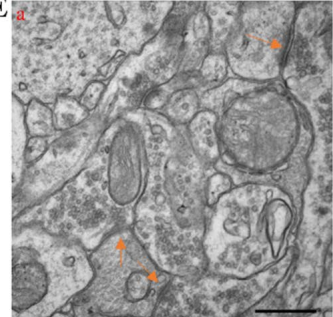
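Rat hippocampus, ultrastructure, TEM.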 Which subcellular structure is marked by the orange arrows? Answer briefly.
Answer: Postsynaptic density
